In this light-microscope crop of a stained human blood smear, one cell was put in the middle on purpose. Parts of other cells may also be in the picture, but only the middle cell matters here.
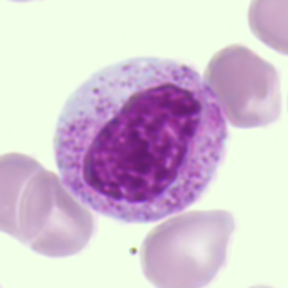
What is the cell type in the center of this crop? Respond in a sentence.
As for the cell in the middle, it is a myelocyte.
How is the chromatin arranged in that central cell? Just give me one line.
Here the nuclear chromatin is coarsely clumped.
